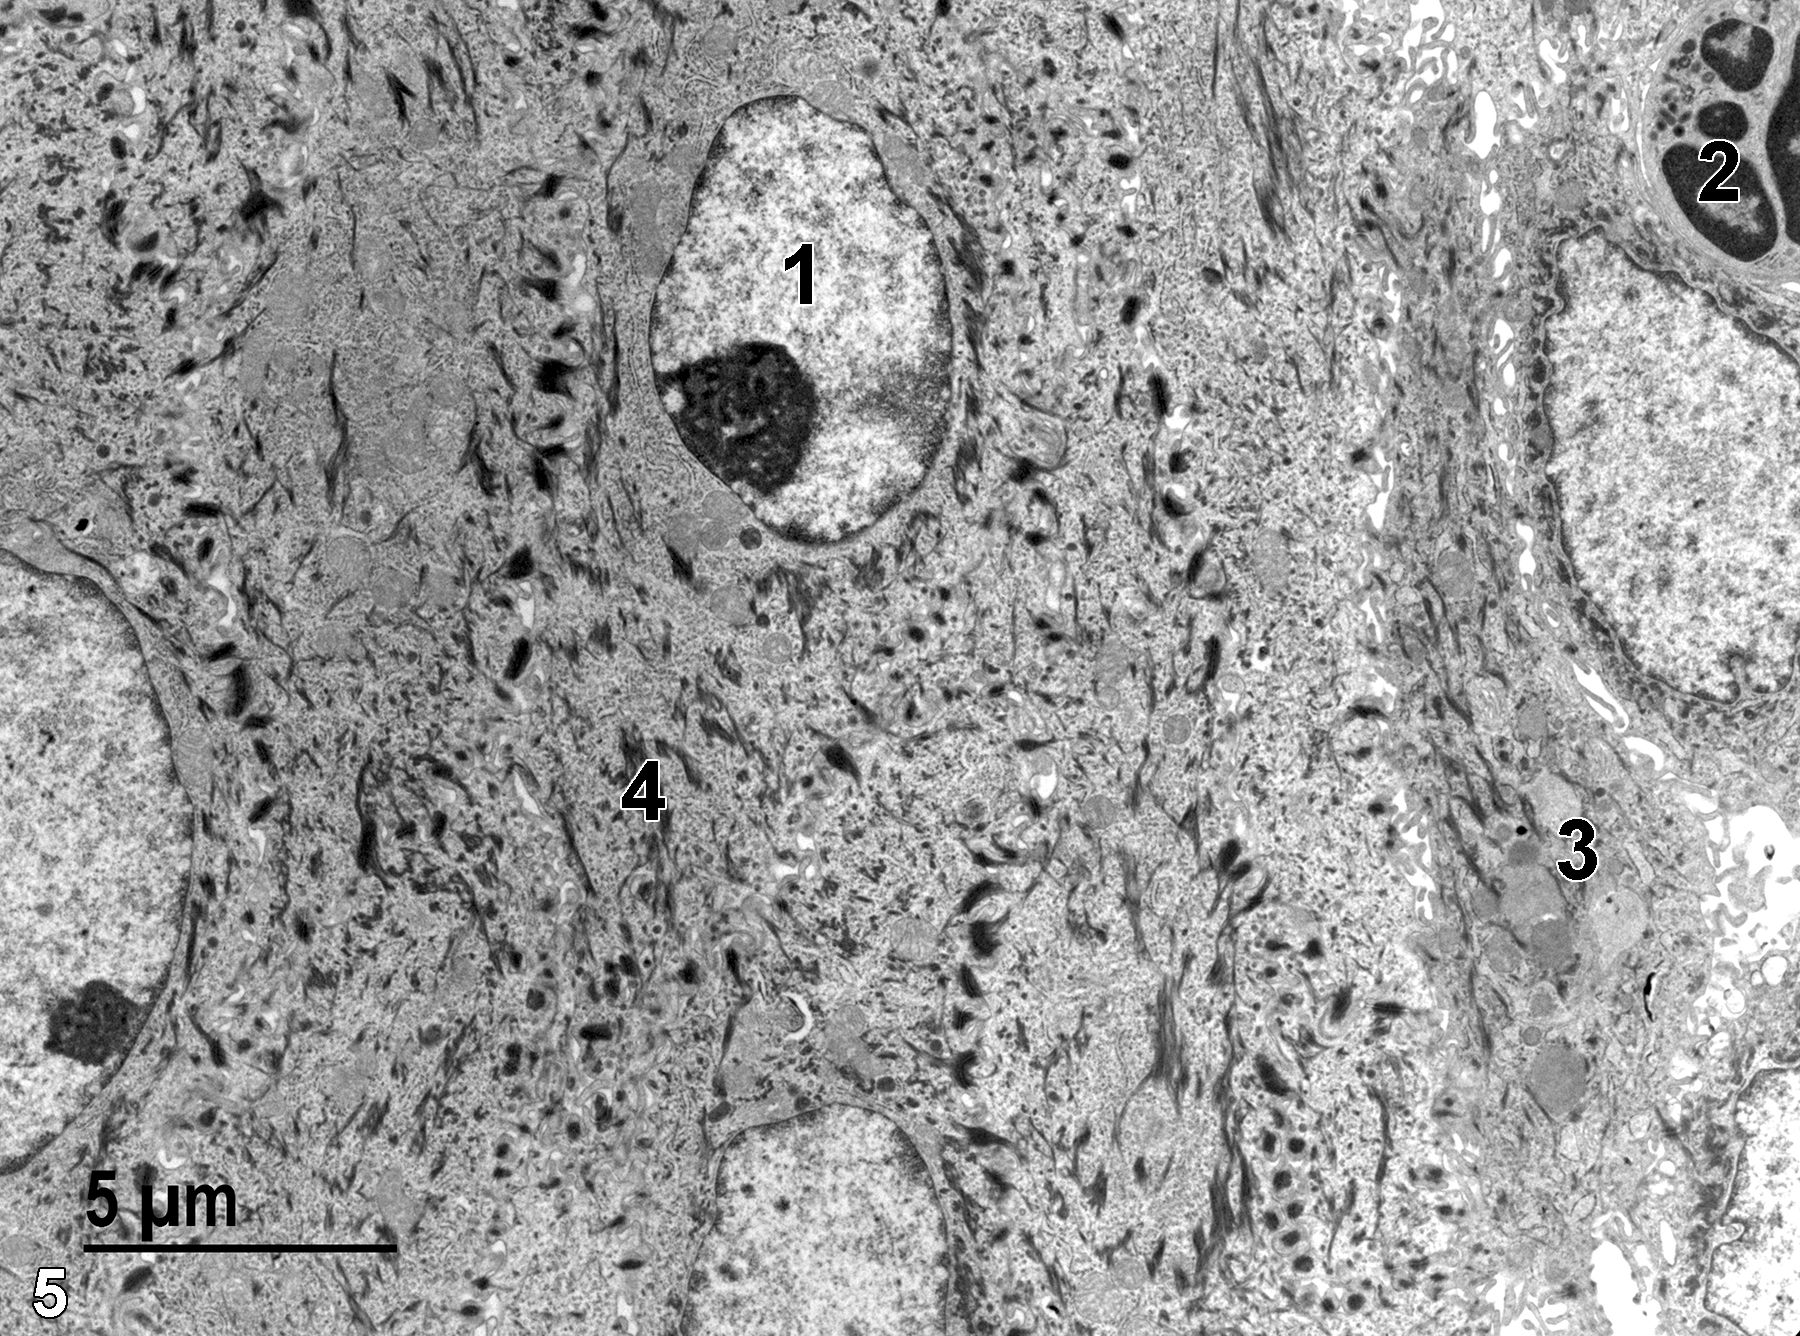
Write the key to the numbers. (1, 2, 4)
1 nucleus
2 neutrophil
4 bundles of tonofilaments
